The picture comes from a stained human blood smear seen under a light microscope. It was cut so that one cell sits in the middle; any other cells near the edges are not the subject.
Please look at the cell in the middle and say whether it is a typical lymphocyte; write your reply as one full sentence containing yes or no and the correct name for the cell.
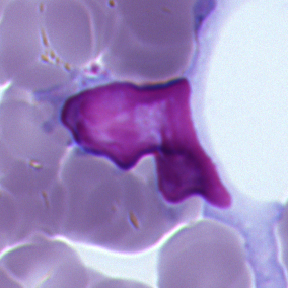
Yes, in the centre of this field sits a typical lymphocyte.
